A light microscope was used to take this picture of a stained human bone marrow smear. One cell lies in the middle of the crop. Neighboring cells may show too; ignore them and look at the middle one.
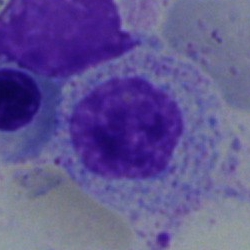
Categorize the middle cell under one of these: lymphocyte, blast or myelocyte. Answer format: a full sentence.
The target cell in the middle of the crop is a myelocyte.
